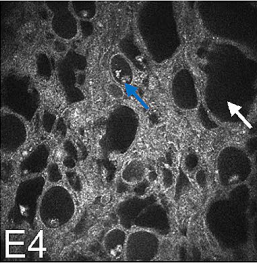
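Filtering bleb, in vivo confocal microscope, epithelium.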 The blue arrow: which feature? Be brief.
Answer: hyperreflective dots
